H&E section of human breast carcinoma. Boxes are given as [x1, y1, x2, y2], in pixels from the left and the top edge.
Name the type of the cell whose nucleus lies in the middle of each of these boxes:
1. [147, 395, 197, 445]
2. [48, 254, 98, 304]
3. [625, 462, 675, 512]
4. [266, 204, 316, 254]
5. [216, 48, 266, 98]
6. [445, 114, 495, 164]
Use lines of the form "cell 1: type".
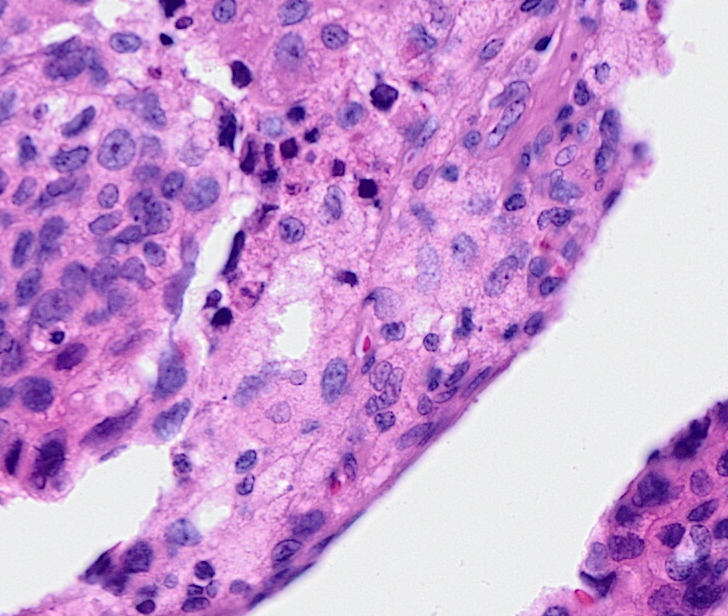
cell 1: carcinoma cell
cell 2: carcinoma cell
cell 3: carcinoma cell
cell 4: macrophage, monocyte or dendritic cell
cell 5: carcinoma cell
cell 6: endothelial cell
